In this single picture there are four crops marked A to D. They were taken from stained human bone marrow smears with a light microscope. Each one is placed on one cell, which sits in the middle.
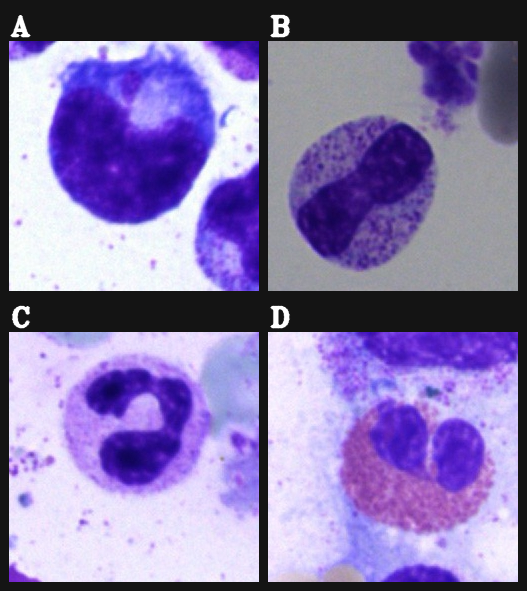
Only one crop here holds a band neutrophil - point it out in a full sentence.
The crop marked B is the one that shows a band neutrophil.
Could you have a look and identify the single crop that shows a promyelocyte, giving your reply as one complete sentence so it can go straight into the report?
The correct choice is crop A, the one showing a promyelocyte.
